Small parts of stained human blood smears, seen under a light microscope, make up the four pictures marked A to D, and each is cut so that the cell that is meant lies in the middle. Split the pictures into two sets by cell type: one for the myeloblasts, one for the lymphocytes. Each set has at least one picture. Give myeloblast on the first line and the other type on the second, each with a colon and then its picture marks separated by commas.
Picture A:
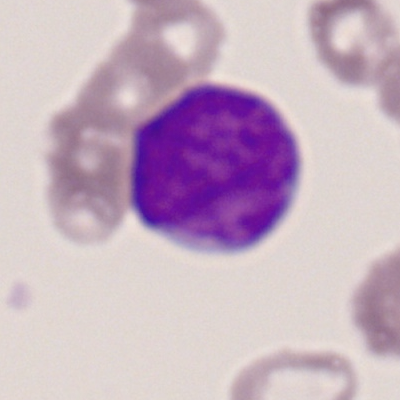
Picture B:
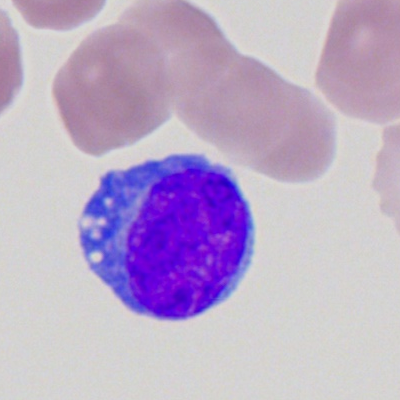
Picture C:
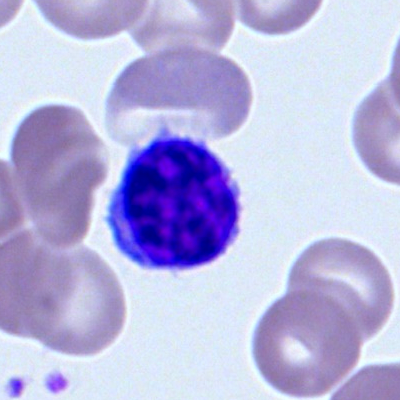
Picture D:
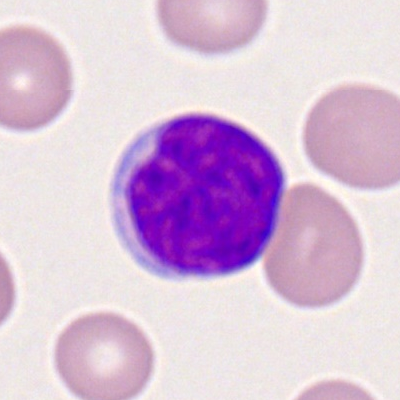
myeloblast: A
lymphocyte: B, C, D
